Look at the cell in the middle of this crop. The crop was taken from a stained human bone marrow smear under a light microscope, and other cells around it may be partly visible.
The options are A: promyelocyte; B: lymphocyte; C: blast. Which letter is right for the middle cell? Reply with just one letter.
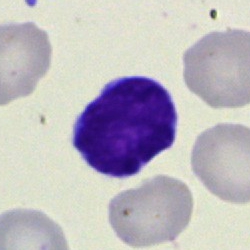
B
